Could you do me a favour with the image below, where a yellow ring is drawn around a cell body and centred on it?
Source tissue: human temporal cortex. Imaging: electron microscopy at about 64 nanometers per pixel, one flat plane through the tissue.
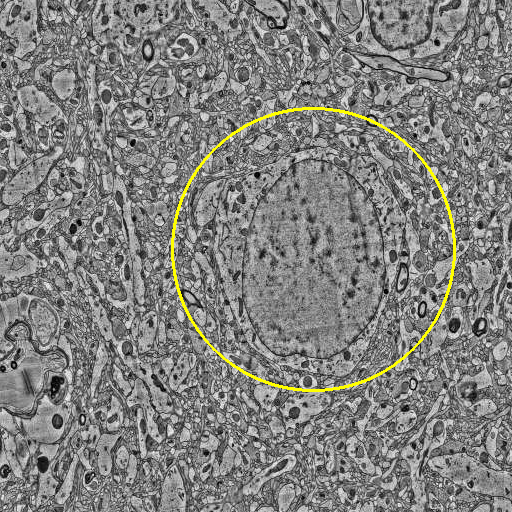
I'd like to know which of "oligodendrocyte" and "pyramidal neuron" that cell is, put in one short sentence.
The cell at the ring's centre is a pyramidal neuron.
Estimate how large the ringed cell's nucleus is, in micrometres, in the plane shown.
The nucleus is approximately 13 micrometers long by 10 micrometers wide in this plane.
